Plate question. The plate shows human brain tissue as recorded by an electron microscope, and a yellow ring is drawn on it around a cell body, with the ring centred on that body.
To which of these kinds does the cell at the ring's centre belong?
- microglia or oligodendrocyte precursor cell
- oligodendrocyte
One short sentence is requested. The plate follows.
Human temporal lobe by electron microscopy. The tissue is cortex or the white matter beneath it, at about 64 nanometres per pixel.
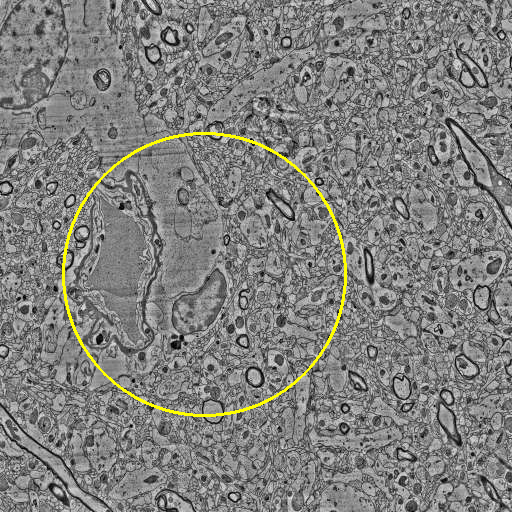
The cell at the ring's centre is a microglial cell or oligodendrocyte precursor cell.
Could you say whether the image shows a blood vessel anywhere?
Yes, a blood vessel shows in the picture.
